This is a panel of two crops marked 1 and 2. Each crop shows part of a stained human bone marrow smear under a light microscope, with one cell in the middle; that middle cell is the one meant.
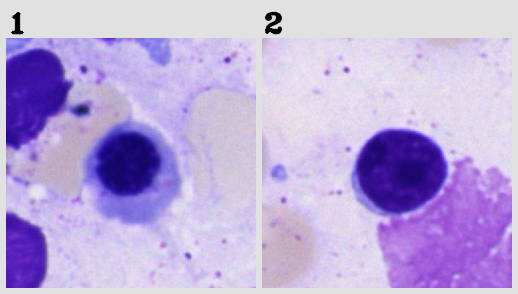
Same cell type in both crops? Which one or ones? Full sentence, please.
No, crop 1 shows an erythroblast, and crop 2, by contrast, shows a lymphocyte.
